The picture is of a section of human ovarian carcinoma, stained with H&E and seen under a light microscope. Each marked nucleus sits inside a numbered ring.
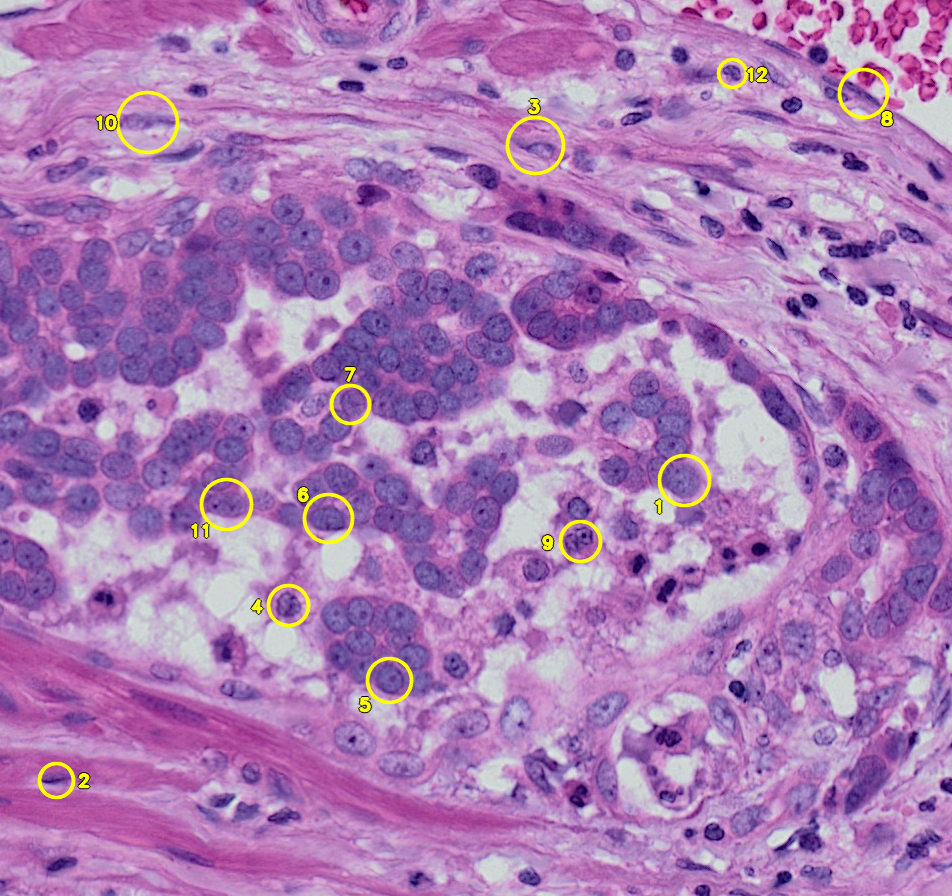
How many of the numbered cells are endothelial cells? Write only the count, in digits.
1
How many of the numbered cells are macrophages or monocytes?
2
